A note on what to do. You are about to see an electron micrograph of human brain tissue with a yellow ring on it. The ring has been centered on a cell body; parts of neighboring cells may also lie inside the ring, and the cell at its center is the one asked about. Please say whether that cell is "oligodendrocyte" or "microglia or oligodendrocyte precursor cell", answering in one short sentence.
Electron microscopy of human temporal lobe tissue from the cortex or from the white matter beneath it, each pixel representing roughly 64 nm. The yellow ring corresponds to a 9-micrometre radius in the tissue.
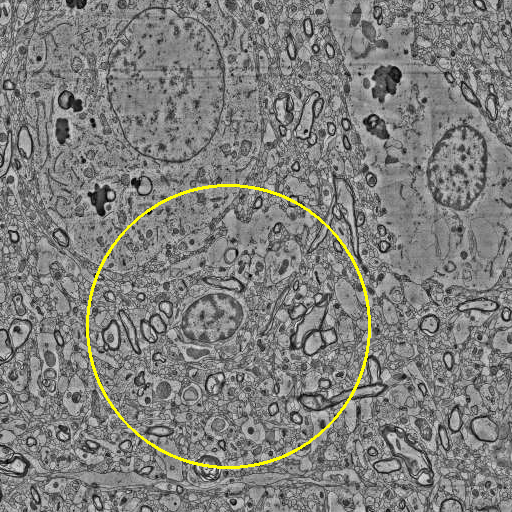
The yellow ring sits on a microglial cell or oligodendrocyte precursor cell.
